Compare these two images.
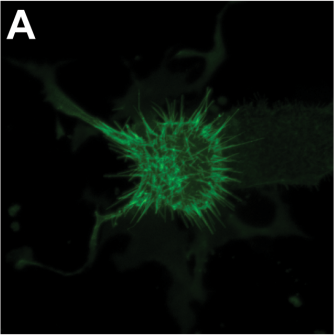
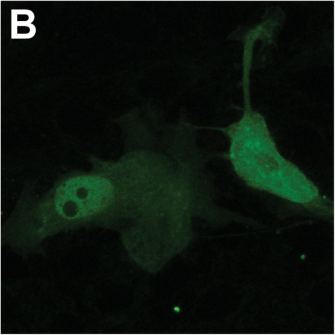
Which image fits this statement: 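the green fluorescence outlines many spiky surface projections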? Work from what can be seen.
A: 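The first image. Second image: green fluorescence is diffuse through the cells, brighter in the nucleus, with no clear spikes. First image: bright green thin spikes radiate densely from one cell.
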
